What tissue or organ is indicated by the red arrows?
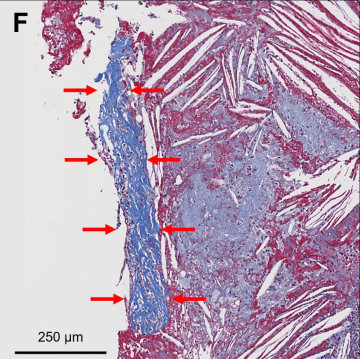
Collagen tissue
